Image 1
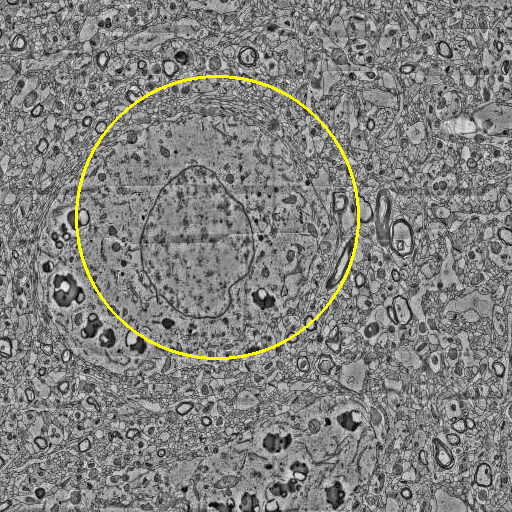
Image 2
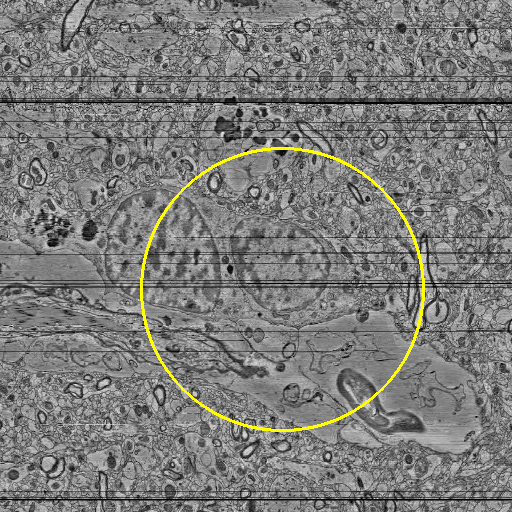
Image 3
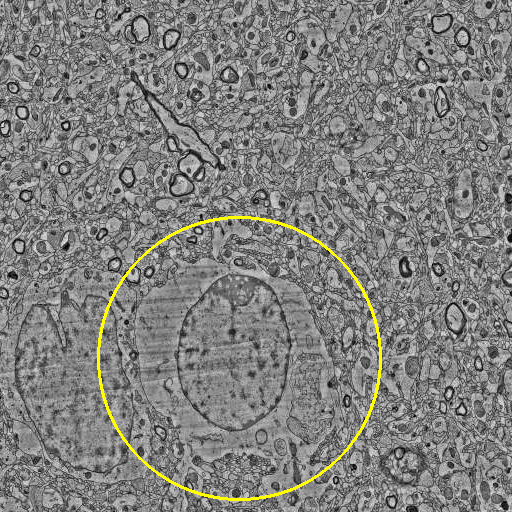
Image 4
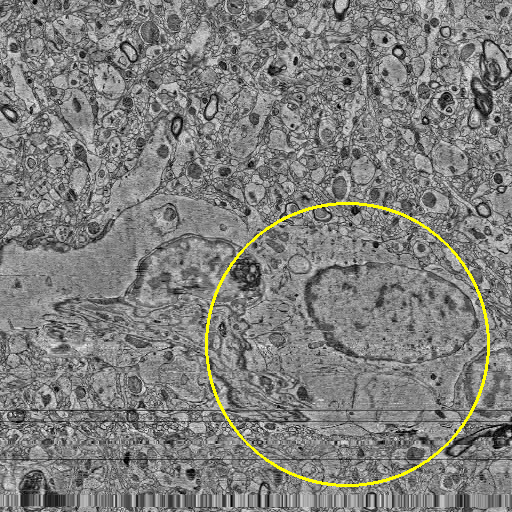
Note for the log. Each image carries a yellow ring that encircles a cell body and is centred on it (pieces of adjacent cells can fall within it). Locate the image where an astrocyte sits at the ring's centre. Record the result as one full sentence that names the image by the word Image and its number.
Image 3 has the wanted cell sitting at the centre of its ring.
